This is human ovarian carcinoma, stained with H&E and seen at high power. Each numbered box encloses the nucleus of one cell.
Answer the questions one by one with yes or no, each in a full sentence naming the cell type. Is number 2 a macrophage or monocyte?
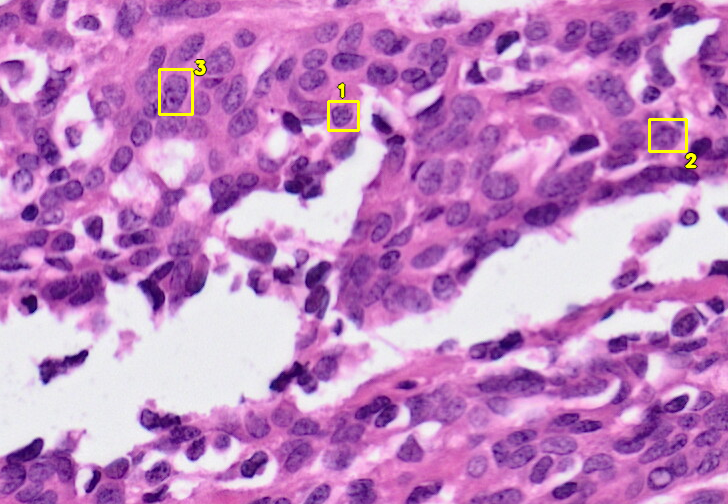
No, cell 2 is classified as a carcinoma cell rather than a macrophage or monocyte.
